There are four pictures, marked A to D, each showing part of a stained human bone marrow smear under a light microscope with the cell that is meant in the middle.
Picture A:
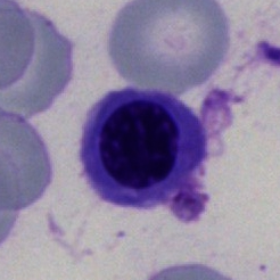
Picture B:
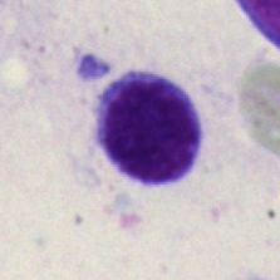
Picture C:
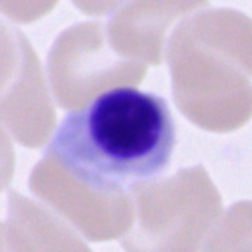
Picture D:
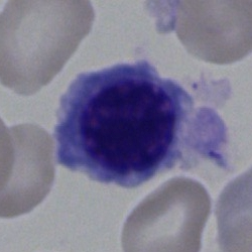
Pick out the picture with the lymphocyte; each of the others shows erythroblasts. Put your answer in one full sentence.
Picture B shows the lymphocyte.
